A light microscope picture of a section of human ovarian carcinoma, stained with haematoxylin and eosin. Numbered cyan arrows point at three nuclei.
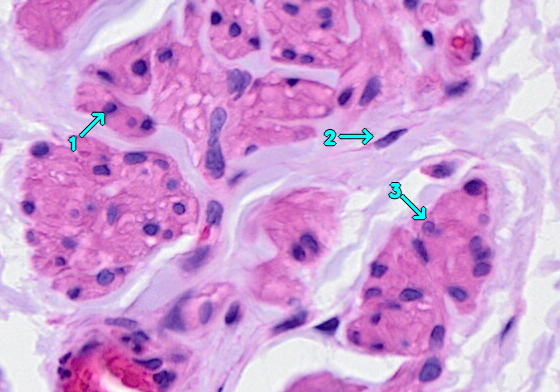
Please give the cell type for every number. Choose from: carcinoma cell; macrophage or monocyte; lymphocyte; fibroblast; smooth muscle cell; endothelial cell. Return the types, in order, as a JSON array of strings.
["smooth muscle cell", "fibroblast", "smooth muscle cell"]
